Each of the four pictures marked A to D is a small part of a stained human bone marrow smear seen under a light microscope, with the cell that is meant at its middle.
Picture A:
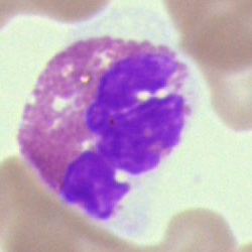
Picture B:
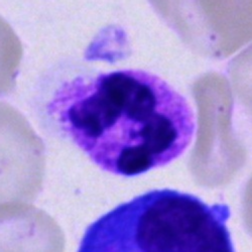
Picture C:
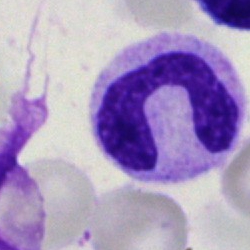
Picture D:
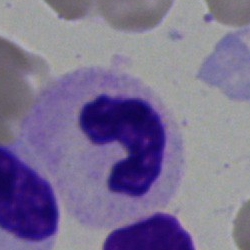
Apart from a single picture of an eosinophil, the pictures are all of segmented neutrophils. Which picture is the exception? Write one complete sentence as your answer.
The cell in picture A is the eosinophil.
